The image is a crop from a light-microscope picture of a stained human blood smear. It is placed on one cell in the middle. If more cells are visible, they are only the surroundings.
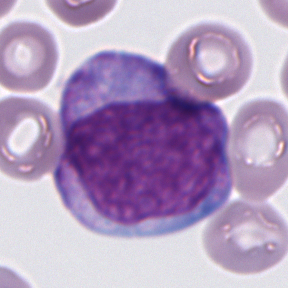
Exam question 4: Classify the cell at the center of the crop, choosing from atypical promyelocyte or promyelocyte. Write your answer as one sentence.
Present in the middle of the crop is an atypical promyelocyte.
